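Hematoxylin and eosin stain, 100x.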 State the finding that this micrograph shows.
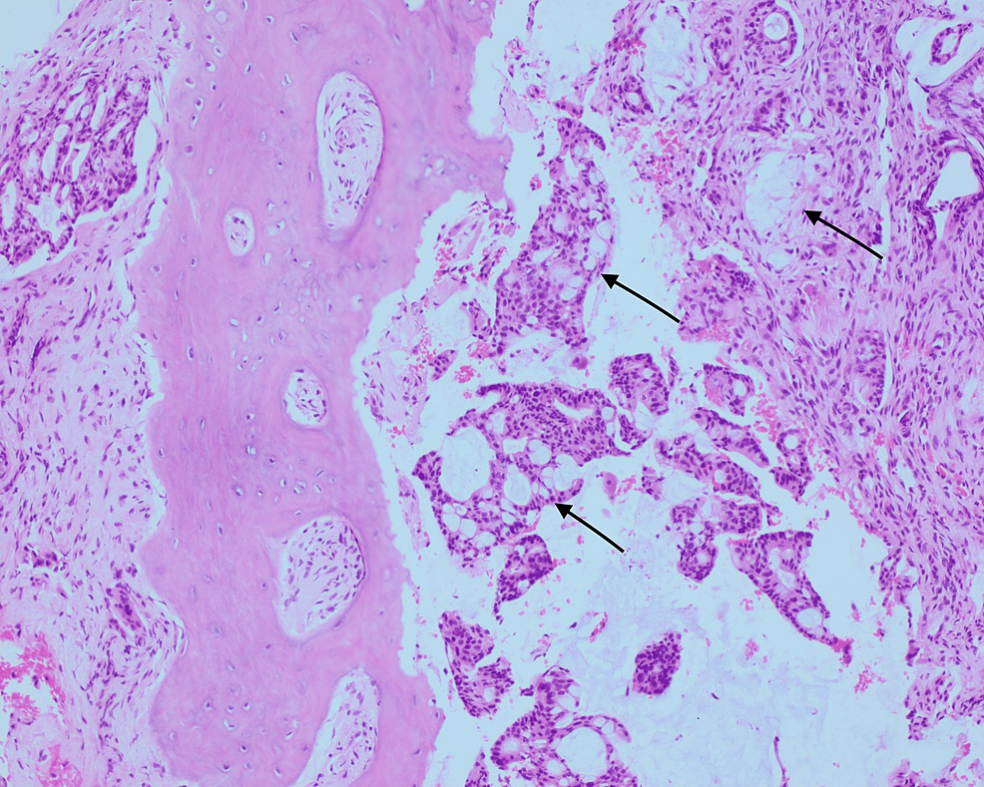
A: Glandular and cribriform patterns of growth.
